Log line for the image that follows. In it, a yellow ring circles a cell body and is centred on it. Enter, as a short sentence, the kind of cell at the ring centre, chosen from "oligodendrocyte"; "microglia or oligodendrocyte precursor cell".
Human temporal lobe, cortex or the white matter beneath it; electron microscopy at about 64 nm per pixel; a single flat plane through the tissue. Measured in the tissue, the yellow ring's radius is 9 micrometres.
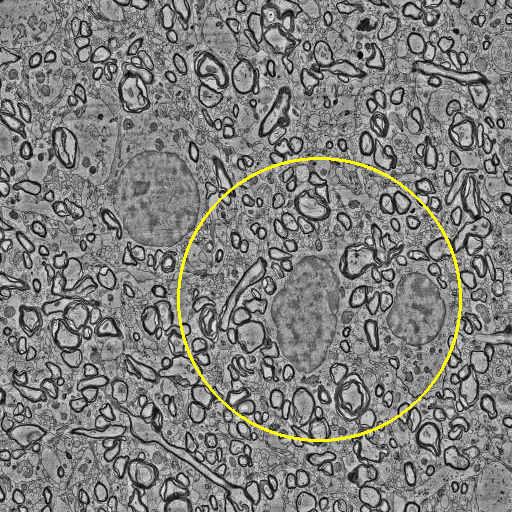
The ring centre is occupied by an oligodendrocyte.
